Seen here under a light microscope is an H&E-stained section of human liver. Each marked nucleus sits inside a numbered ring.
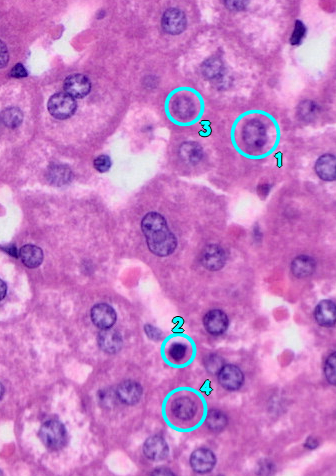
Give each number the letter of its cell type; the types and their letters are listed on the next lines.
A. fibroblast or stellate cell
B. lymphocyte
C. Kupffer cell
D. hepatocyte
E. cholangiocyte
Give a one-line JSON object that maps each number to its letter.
{"1": "D", "2": "B", "3": "D", "4": "D"}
